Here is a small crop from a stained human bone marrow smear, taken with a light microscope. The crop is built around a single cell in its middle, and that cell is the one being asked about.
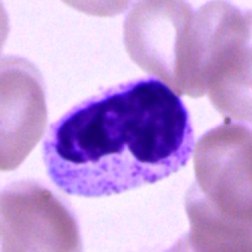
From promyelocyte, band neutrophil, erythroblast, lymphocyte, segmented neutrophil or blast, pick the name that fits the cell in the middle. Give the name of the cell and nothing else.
band neutrophil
